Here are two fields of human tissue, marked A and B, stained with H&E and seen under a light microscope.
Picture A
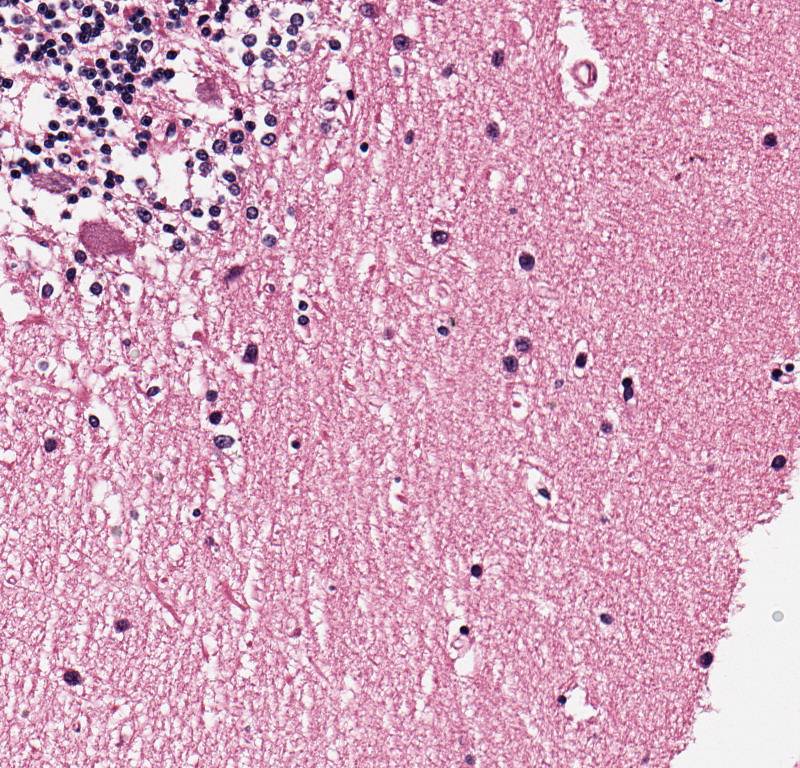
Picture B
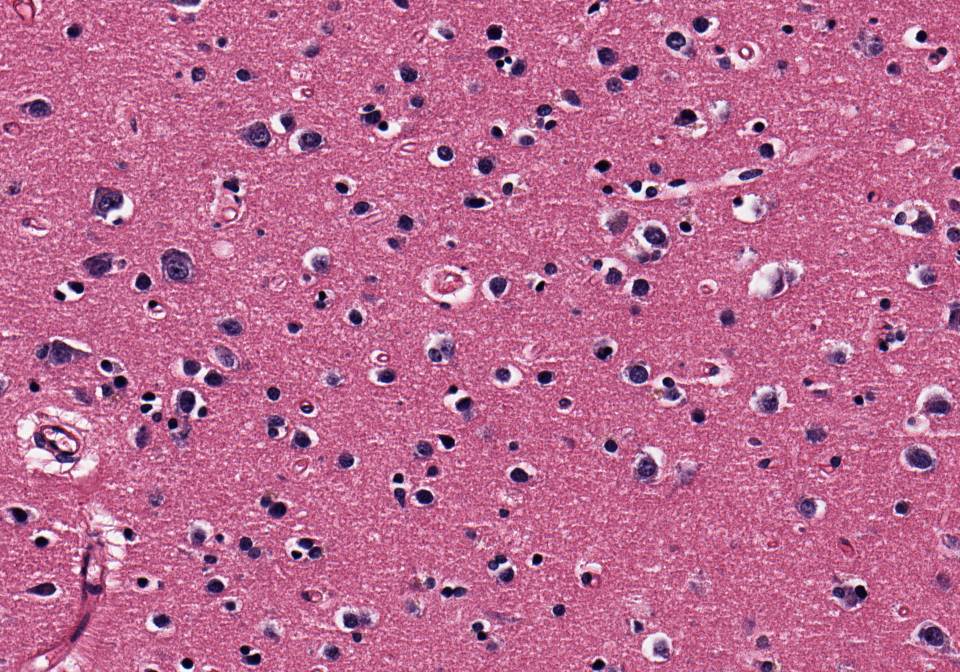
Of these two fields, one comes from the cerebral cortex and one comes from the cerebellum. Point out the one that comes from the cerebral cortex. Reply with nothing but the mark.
B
